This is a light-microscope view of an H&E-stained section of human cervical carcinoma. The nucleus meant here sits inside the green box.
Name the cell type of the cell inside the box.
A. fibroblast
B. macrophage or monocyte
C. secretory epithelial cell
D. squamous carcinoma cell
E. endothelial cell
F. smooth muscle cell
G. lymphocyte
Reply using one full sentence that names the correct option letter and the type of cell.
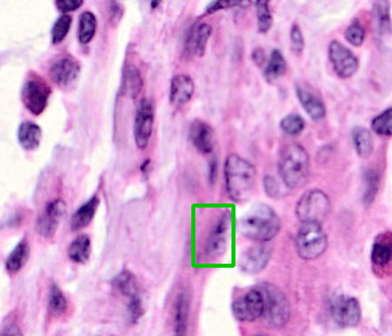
Of all the options, E is right, since the cell inside the box is an endothelial cell.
